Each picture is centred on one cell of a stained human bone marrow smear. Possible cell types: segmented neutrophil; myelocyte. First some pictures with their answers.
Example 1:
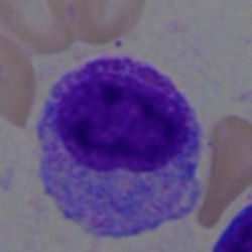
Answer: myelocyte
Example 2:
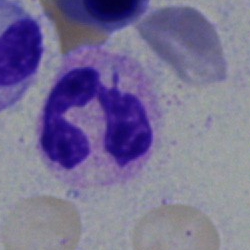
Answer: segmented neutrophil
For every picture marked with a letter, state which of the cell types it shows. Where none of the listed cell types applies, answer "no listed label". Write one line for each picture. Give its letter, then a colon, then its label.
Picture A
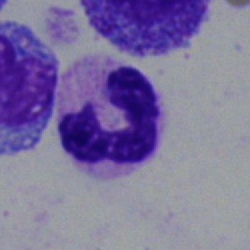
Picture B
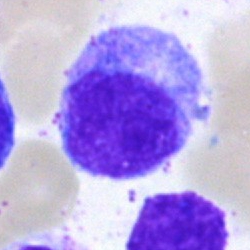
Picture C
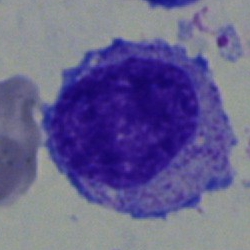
A: segmented neutrophil
B: myelocyte
C: myelocyte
